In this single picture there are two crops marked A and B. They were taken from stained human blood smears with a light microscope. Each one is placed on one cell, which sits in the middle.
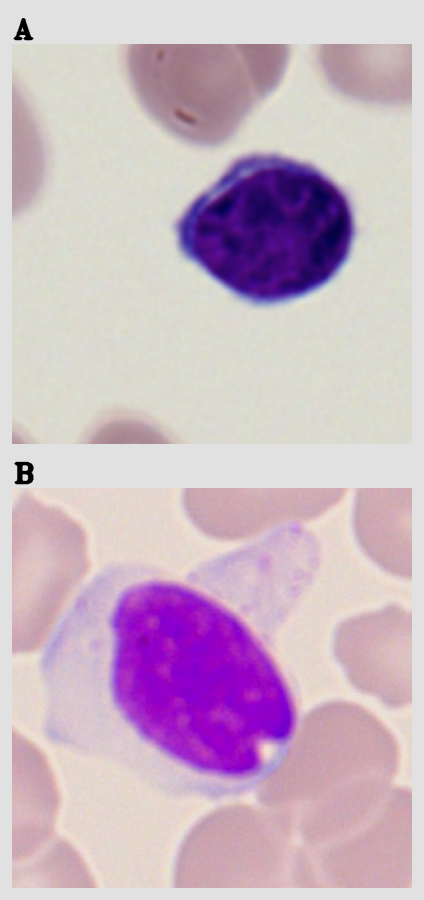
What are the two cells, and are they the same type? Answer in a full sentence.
Yes, the same answer goes for both crops, namely lymphocytes.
